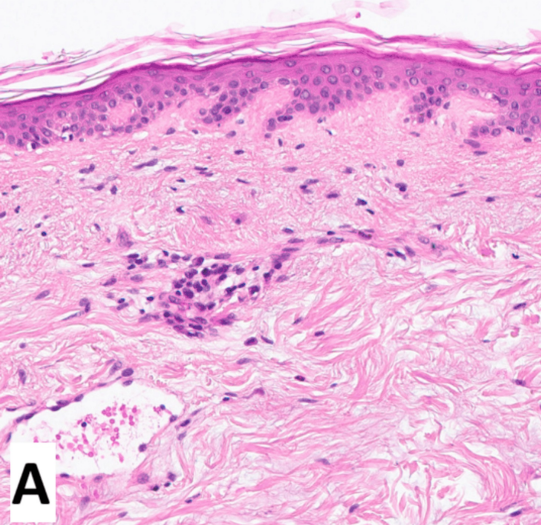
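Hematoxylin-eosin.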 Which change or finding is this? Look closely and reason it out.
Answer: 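Edematous dermis. The upper dermis below the epidermis is pale and loosely textured. Collagen bundles are separated by clear spaces.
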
